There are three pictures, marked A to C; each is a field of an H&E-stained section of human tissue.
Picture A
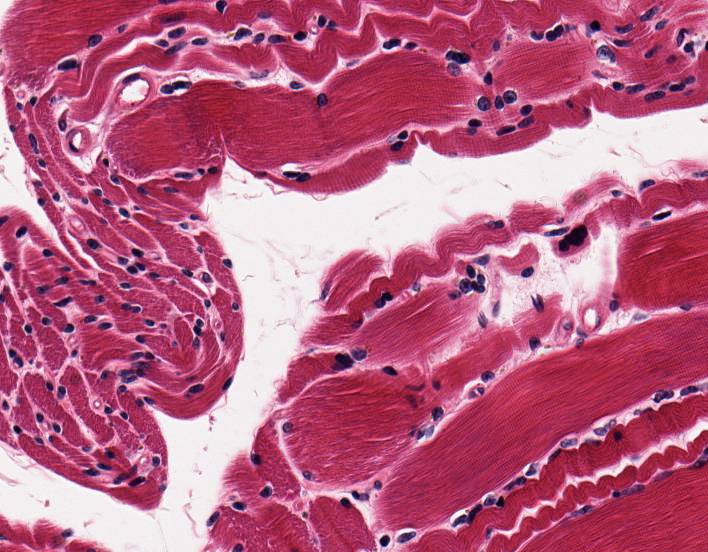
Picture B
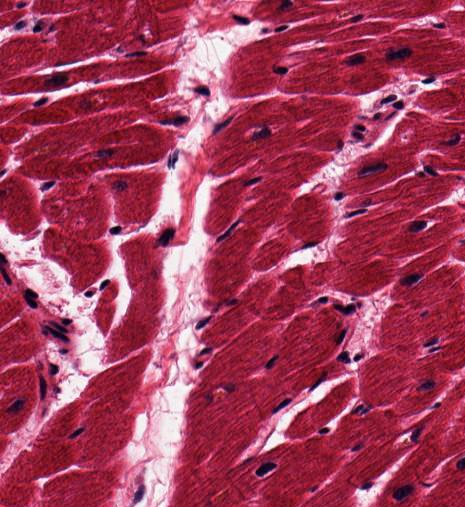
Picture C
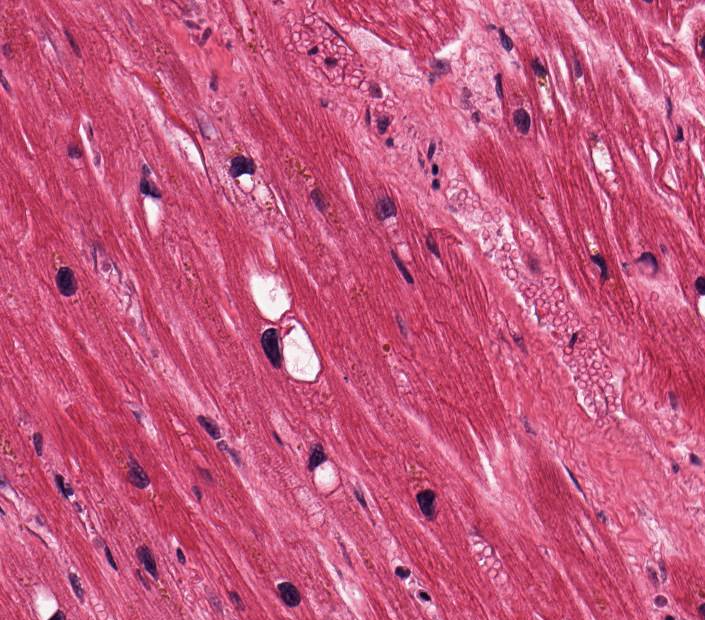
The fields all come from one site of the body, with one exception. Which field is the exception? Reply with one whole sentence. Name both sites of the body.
The others come from the left ventricle of the heart, but picture A comes from skeletal muscle.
